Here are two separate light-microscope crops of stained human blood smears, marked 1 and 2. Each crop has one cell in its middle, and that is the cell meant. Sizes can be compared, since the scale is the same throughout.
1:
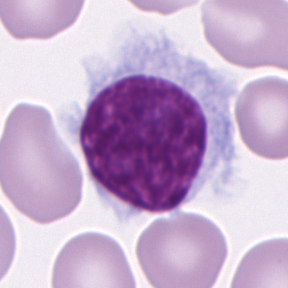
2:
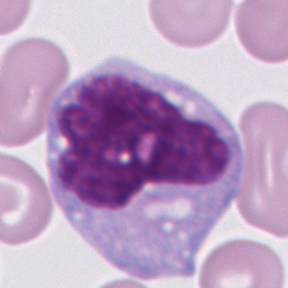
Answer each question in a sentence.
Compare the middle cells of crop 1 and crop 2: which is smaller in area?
Crop 1 holds the smaller cell, since the cell in crop 2 covers about 1.5 times as much area.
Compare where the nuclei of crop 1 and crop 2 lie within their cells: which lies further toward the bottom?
The nucleus in crop 1 lies further toward the bottom of its cell.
